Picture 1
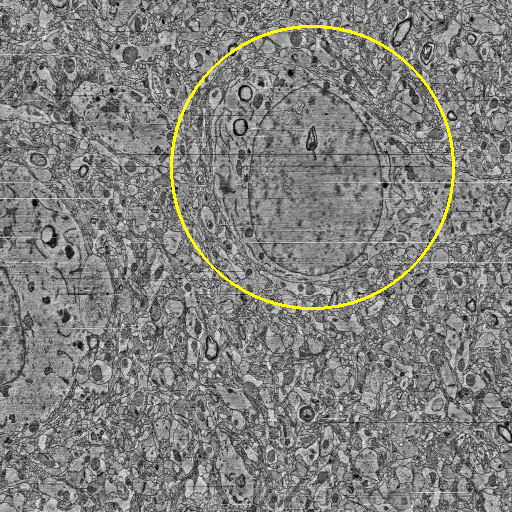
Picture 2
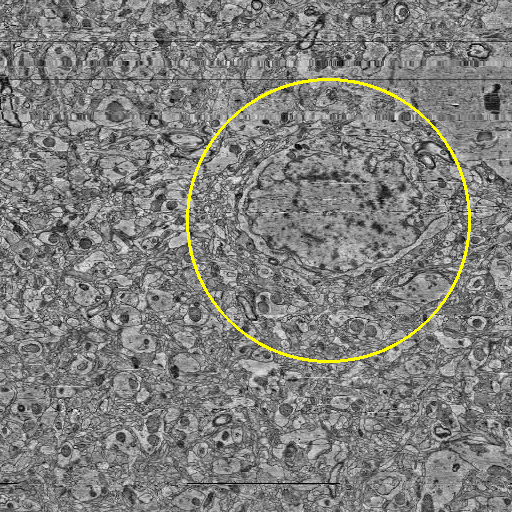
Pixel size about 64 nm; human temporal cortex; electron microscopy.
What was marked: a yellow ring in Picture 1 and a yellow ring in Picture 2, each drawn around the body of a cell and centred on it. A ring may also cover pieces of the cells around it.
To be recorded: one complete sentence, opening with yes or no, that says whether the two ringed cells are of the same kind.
No, the two ringed cells are of two kinds.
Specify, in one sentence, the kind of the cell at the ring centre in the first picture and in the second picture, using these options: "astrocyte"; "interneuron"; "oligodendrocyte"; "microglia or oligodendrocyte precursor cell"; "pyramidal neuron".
So the first is a pyramidal neuron, the second an interneuron.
